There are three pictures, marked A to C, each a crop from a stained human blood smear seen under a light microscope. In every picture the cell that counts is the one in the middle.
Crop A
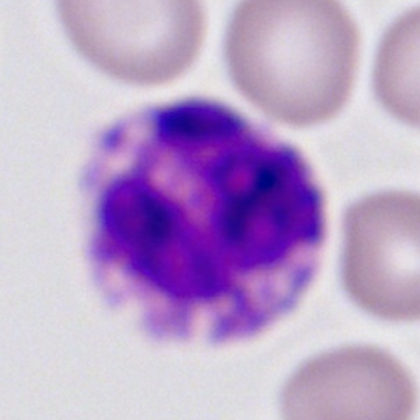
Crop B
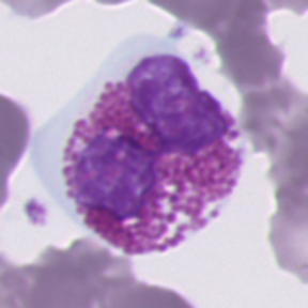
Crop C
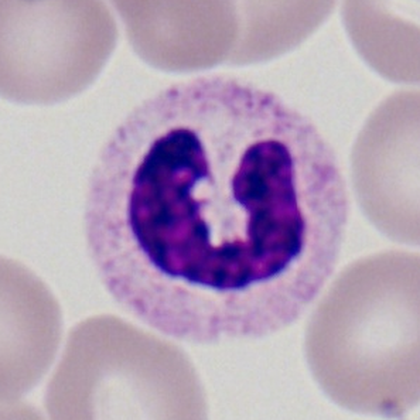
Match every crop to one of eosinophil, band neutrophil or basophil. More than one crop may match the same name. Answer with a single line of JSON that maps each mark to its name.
{"A": "basophil", "B": "eosinophil", "C": "band neutrophil"}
